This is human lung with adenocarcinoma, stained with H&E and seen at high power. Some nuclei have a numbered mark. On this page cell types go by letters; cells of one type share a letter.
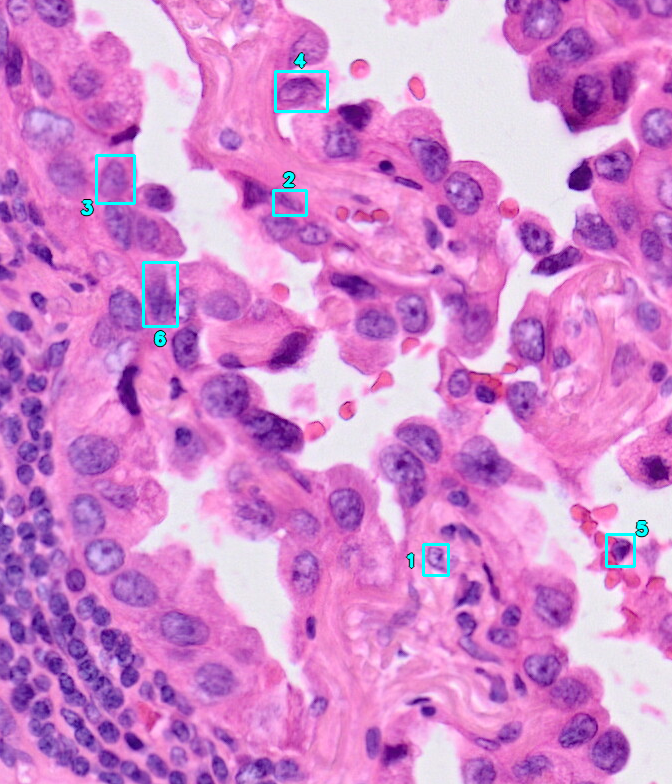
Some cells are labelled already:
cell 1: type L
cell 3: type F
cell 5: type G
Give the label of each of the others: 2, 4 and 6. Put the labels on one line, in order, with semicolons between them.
type F; type F; type F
